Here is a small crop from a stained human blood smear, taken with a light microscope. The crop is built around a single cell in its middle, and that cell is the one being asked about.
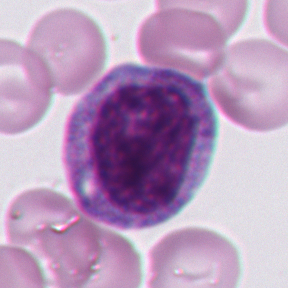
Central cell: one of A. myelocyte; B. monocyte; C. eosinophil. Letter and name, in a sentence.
For this crop, option A is right, the centered cell being a myelocyte.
